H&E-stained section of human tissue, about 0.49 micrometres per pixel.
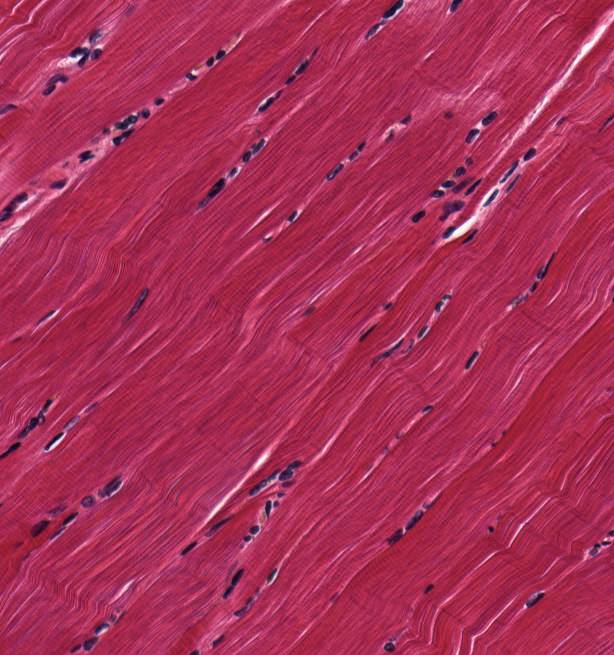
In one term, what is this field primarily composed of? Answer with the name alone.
skeletal muscle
